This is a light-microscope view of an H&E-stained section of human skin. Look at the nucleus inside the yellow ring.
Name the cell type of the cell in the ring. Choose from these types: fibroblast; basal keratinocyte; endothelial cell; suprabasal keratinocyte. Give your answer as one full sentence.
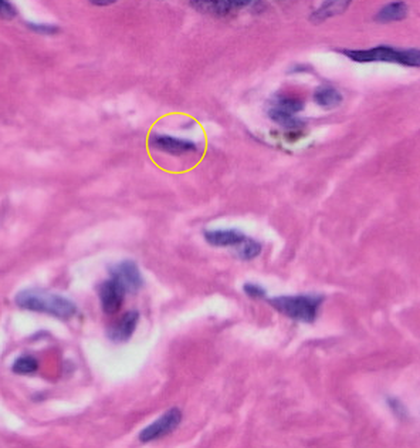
Placed in its cell category, the cell in the ring is a fibroblast.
